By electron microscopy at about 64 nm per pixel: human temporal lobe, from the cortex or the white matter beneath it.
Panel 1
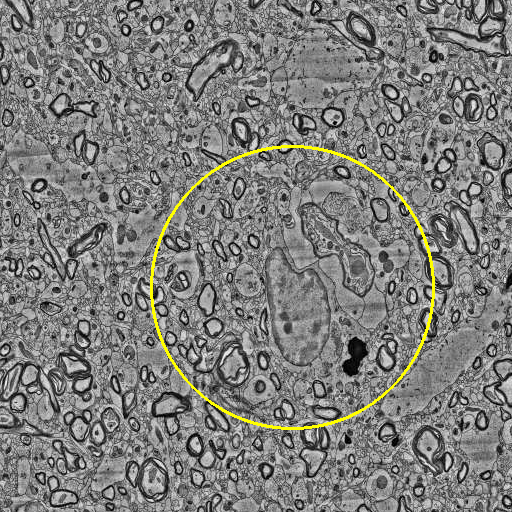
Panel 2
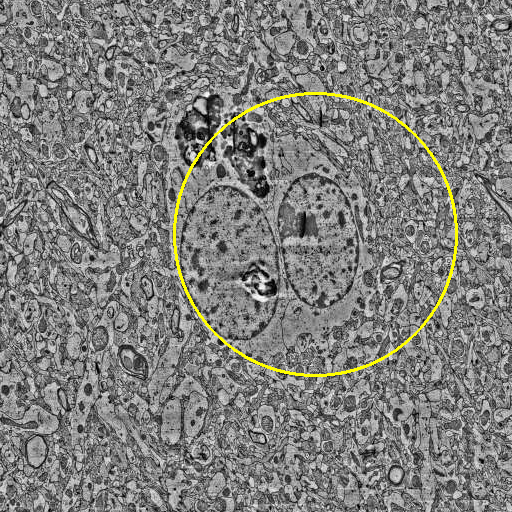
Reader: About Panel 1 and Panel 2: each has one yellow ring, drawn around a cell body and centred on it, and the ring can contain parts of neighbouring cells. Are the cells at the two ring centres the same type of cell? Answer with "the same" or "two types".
two types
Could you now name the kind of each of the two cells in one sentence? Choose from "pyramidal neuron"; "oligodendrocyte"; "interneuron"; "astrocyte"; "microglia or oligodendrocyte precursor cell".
The first ring encloses an oligodendrocyte; the second ring encloses an astrocyte.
